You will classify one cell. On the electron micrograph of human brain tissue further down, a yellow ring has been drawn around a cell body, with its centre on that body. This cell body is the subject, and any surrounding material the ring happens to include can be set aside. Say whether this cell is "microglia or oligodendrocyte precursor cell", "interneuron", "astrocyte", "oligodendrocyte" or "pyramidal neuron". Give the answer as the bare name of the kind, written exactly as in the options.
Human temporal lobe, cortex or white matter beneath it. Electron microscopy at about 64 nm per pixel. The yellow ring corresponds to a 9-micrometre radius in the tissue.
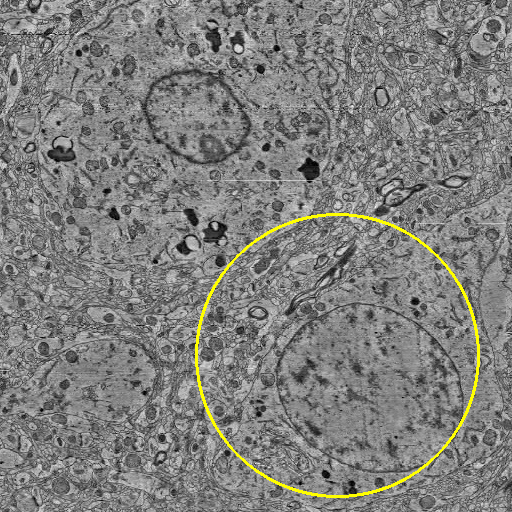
pyramidal neuron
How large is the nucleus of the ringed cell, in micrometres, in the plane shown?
The nucleus measures about 12 by 10 micrometres in this plane.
